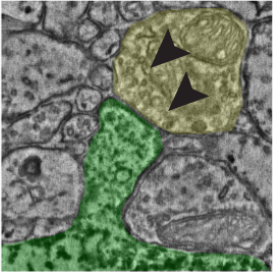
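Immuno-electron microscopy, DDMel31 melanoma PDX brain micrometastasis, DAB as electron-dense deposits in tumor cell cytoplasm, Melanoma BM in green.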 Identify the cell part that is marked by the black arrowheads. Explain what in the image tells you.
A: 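The arrowheads point at clusters of small round membrane-bound vesicles inside the yellow profile.
Presynaptic vesicles.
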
